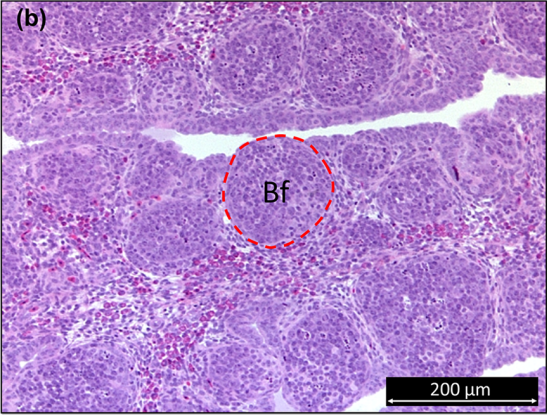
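This is the bursa of Fabricius at higher power, where the folds are packed with rounded bursal follicles, each a dense cluster of small round lymphoid cells with dark purple nuclei and little cytoplasm. Between the follicles runs a looser, paler band of connective tissue with scattered bright red-staining cells, and a white slit of lumen crosses the field, bordered by a thin cellular lining.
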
